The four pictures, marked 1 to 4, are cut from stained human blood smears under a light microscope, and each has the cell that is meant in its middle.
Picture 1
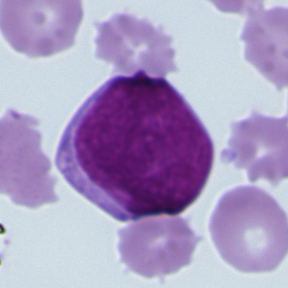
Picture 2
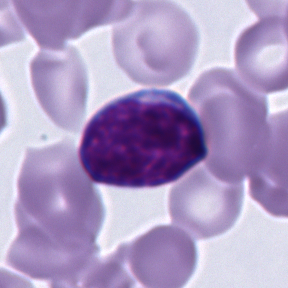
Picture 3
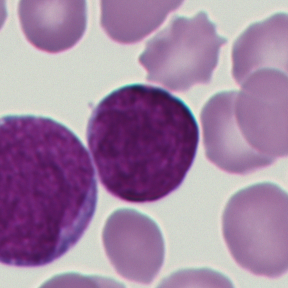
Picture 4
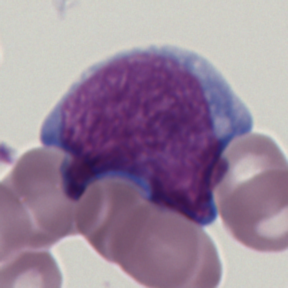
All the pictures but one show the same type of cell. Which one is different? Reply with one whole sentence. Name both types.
Unlike the rest, which show myeloblasts, picture 2 shows a typical lymphocyte.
